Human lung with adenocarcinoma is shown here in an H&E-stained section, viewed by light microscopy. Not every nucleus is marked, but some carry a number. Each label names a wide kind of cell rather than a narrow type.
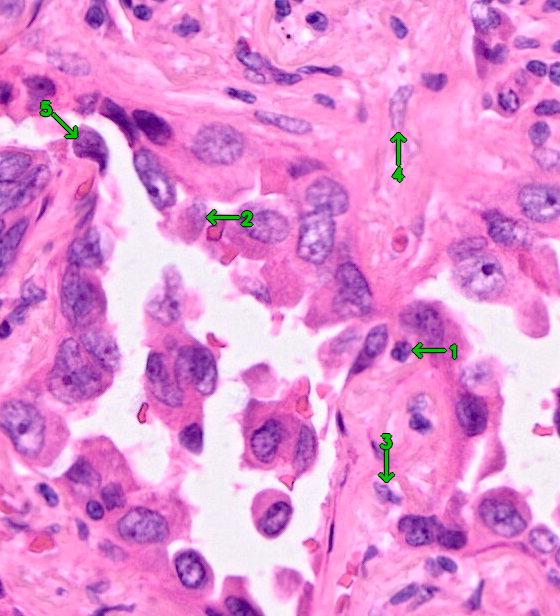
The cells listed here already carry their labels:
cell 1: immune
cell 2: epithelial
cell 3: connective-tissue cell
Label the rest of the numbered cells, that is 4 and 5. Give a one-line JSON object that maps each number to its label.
{"4": "connective-tissue cell", "5": "epithelial"}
